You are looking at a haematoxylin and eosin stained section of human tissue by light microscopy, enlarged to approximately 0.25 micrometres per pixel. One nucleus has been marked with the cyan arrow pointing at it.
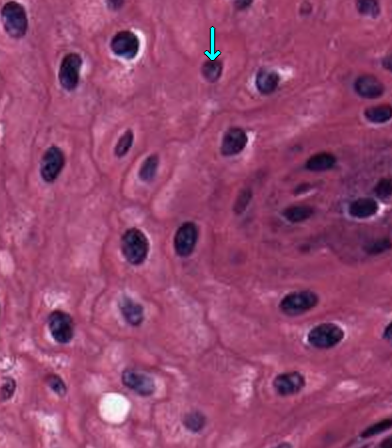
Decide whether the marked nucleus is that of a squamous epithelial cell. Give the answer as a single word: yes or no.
yes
